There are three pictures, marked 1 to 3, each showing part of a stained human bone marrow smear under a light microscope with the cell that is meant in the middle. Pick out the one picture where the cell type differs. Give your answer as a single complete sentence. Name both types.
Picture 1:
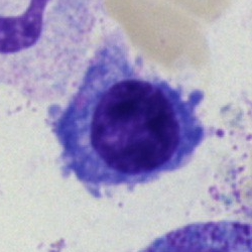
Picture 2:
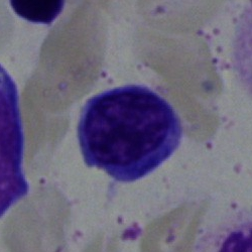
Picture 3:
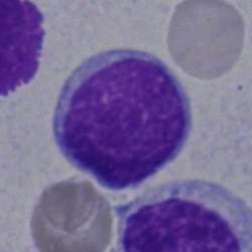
Unlike the rest, which show lymphocytes, picture 1 shows a plasma cell.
